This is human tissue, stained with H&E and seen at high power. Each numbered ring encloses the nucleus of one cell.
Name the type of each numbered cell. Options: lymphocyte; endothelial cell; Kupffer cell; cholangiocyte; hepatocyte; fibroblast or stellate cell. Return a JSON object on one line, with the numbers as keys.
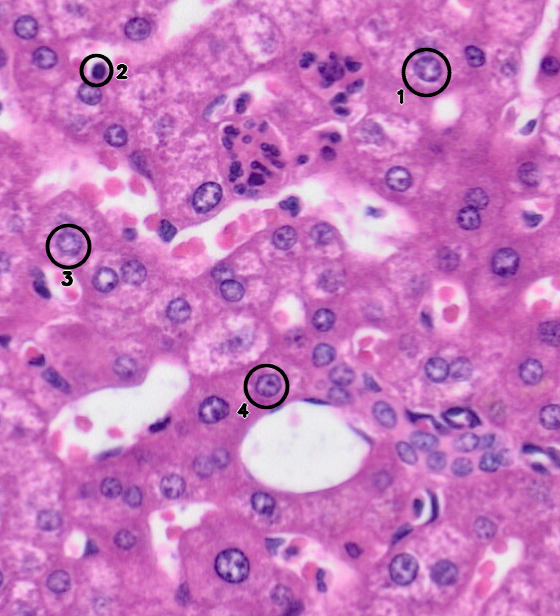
{"1": "hepatocyte", "2": "lymphocyte", "3": "hepatocyte", "4": "hepatocyte"}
